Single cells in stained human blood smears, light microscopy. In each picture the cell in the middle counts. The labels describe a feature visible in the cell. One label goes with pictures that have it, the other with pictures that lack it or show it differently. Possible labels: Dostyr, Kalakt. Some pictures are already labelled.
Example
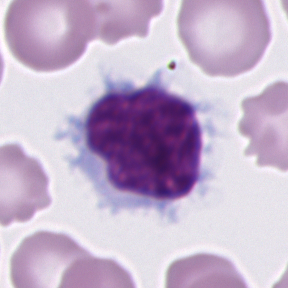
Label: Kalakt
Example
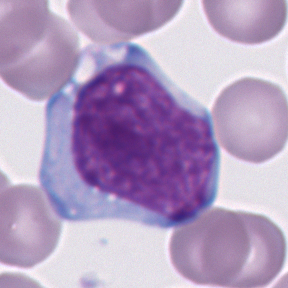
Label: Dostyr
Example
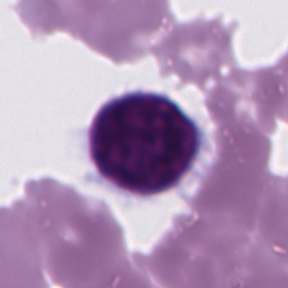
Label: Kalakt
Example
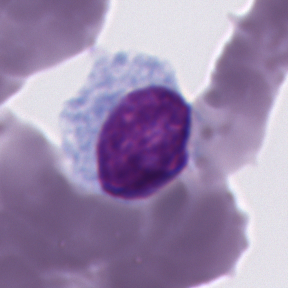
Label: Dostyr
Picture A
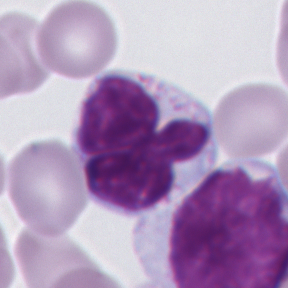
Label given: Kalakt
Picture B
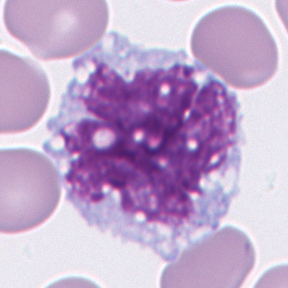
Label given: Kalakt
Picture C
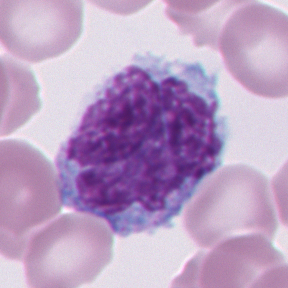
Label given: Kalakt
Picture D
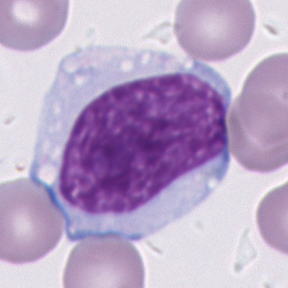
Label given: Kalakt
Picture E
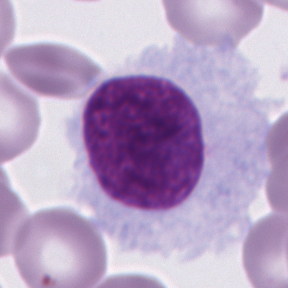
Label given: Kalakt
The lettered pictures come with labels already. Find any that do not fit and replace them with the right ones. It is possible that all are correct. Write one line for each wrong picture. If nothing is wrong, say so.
D: Dostyr, not Kalakt
E: Dostyr, not Kalakt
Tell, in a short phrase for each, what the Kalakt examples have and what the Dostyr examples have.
Kalakt, scant cytoplasm; Dostyr, abundant cytoplasm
